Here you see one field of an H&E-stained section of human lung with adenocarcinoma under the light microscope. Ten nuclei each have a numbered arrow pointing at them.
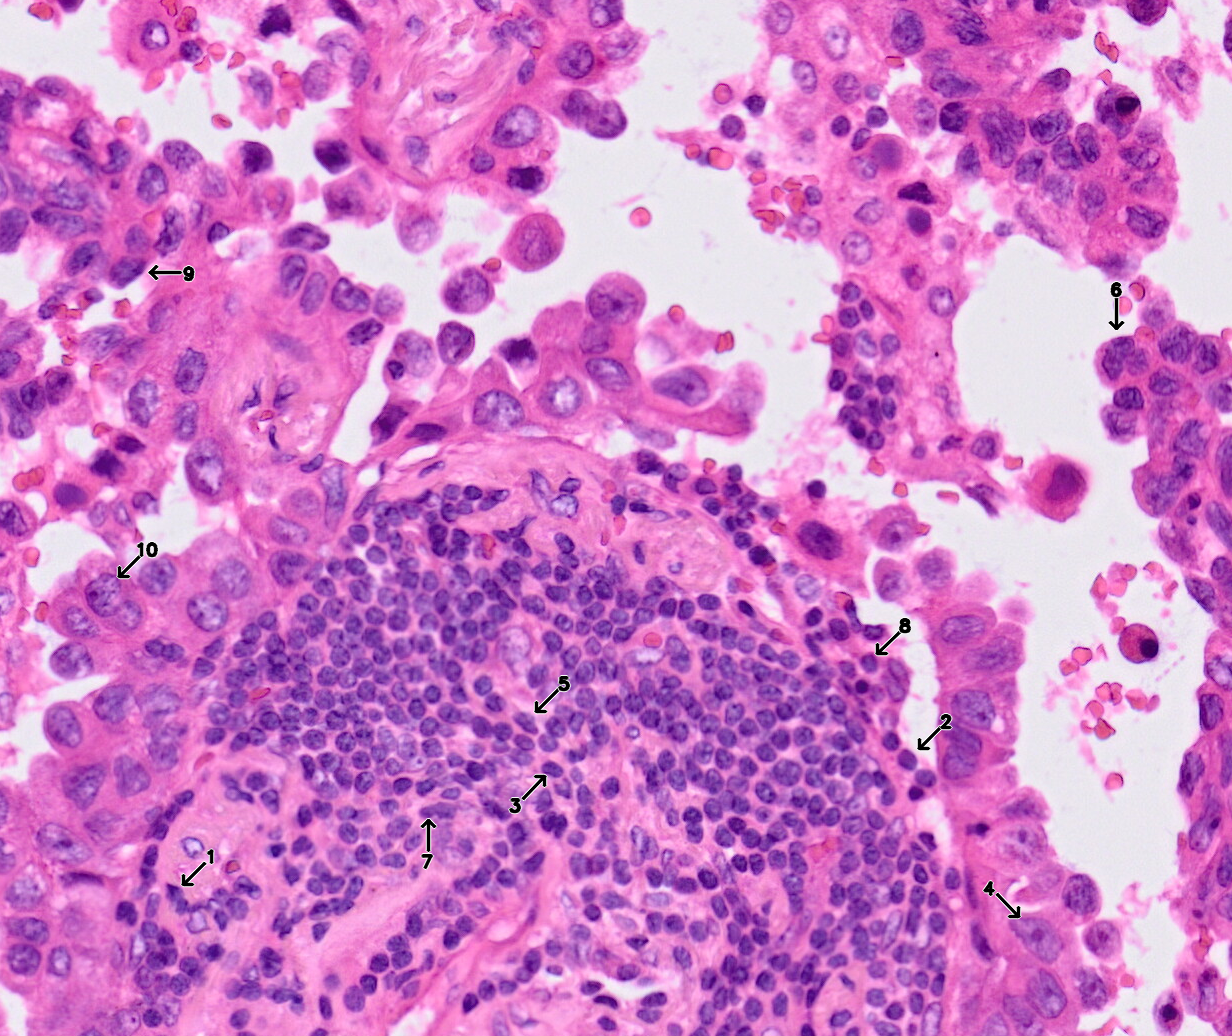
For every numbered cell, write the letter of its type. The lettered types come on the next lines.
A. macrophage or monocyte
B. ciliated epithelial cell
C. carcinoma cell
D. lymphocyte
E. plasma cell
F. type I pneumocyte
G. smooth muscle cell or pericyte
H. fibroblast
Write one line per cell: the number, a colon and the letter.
1: D
2: D
3: D
4: C
5: D
6: C
7: D
8: D
9: C
10: C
